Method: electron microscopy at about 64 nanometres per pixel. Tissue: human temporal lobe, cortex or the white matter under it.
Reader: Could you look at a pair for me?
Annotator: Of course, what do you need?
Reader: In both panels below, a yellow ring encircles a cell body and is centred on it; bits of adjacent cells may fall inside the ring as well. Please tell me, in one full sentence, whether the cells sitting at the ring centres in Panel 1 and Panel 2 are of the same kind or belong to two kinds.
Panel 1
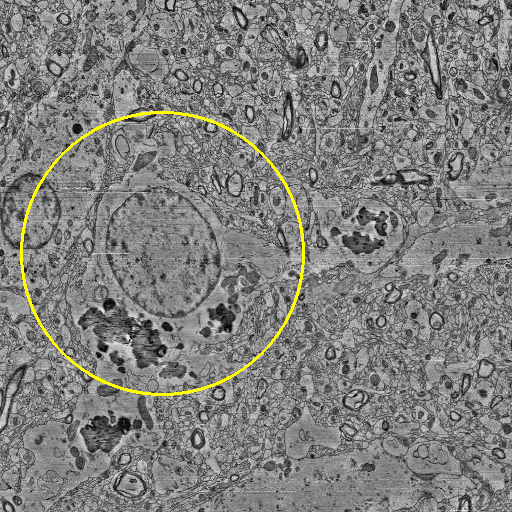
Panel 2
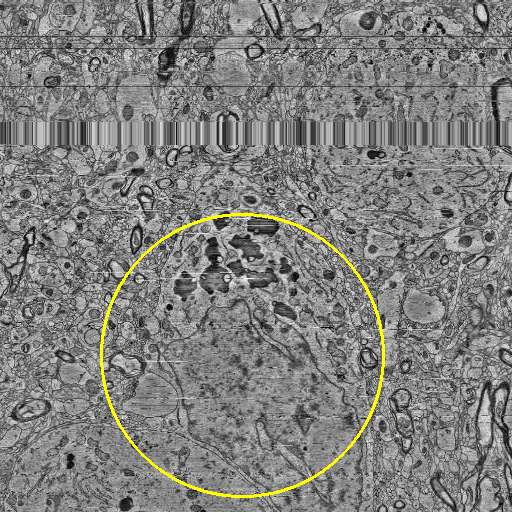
The cell at the ring's centre in Panel 1 and the one in Panel 2 belong to two kinds.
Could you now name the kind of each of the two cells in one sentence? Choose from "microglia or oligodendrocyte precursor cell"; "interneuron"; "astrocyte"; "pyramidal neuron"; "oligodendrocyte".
The first ring encloses an astrocyte; the second ring encloses an interneuron.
